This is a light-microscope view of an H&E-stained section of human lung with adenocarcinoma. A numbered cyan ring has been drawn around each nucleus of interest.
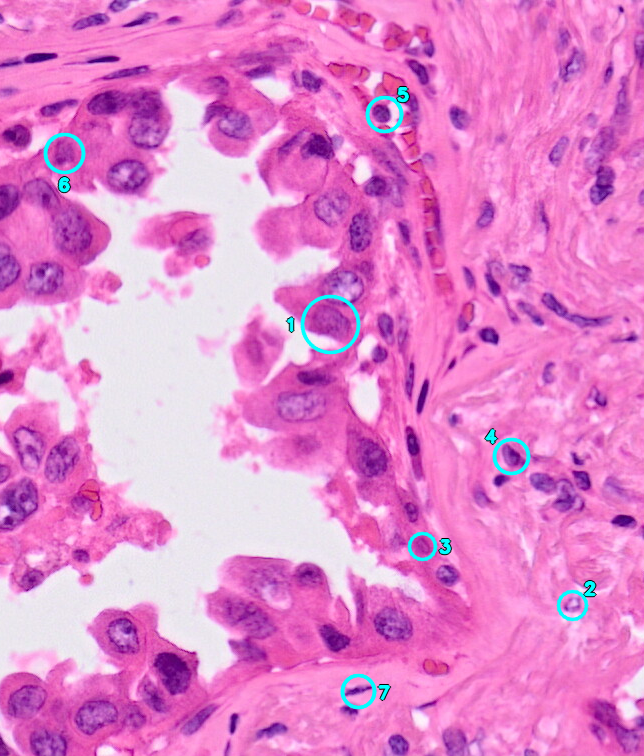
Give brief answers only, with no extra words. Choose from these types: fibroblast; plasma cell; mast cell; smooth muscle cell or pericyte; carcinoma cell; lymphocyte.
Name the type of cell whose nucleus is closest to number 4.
lymphocyte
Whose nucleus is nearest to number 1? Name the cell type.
carcinoma cell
